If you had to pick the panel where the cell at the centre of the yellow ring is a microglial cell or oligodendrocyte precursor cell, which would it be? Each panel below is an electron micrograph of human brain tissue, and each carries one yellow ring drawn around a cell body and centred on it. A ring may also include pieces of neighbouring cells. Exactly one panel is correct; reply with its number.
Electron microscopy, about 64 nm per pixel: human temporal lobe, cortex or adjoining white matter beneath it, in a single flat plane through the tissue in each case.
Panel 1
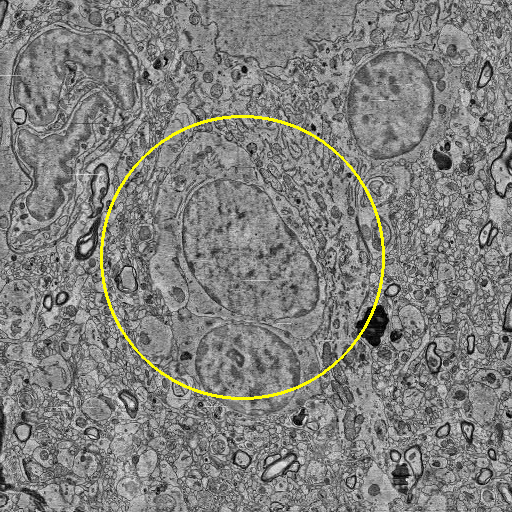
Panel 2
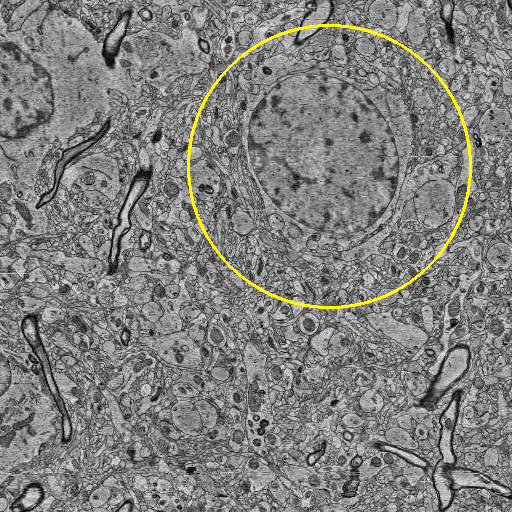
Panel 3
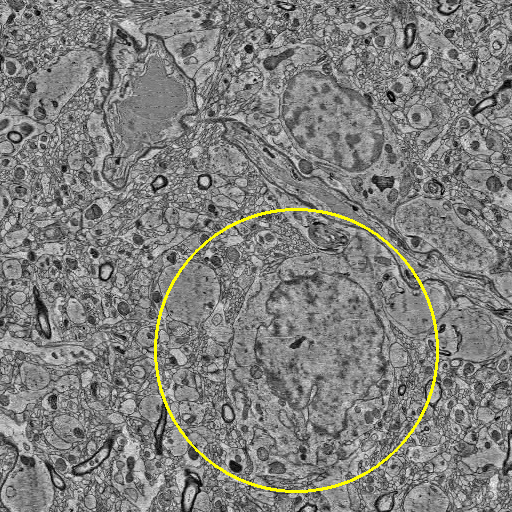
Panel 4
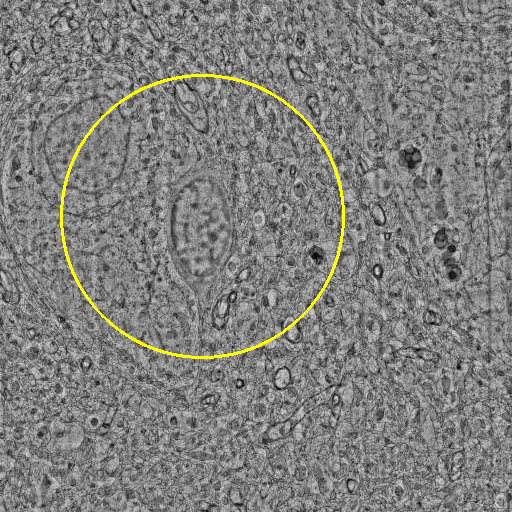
1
